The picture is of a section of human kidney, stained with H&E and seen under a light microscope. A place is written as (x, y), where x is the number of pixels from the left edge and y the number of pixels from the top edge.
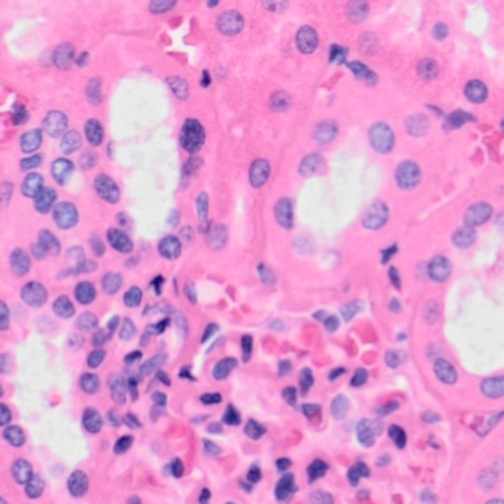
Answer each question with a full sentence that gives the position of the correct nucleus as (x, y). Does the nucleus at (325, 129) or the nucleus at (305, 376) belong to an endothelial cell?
Of the pair, the nucleus located at (305, 376) belongs to an endothelial cell.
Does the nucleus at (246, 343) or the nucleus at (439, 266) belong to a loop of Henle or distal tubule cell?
Among the two nuclei, the one found at (439, 266) belongs to a loop of Henle or distal tubule cell.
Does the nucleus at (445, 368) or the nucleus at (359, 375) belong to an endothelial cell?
Of the two nuclei, the one at (359, 375) belongs to an endothelial cell.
